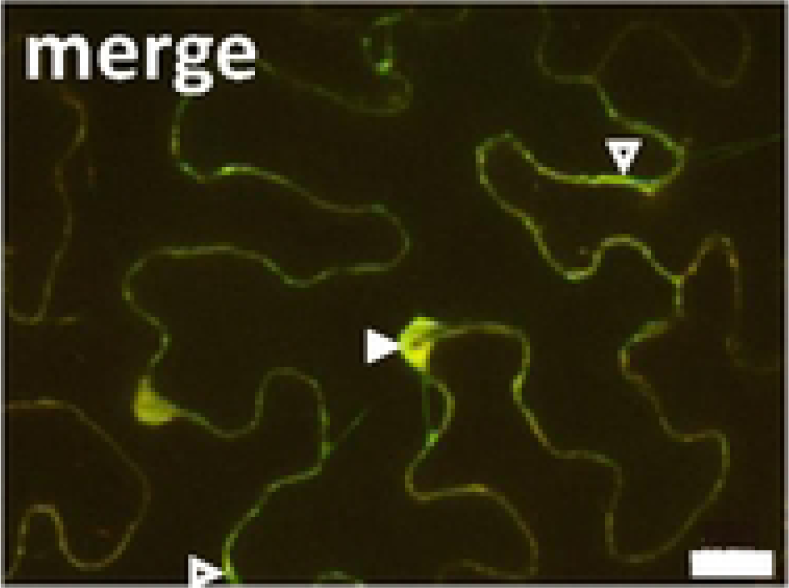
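A flat sheet of leaf epidermis cells with wavy, interlocking jigsaw-puzzle outlines, each cell traced by a thin fluorescent rim of cytoplasm pressed against the wall, since a large central vacuole fills the interior and stays dark. Green and orange overlap along these rims, giving a yellow-green line. Here and there a small rounded body, brighter than the rim, bulges at the cell edge; these are nuclei lying in the thin peripheral cytoplasm. Arrowheads point to a nucleus and to stretches of the cell periphery where the green fluorescence is strong. These are pavement cells of the leaf epidermis.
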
